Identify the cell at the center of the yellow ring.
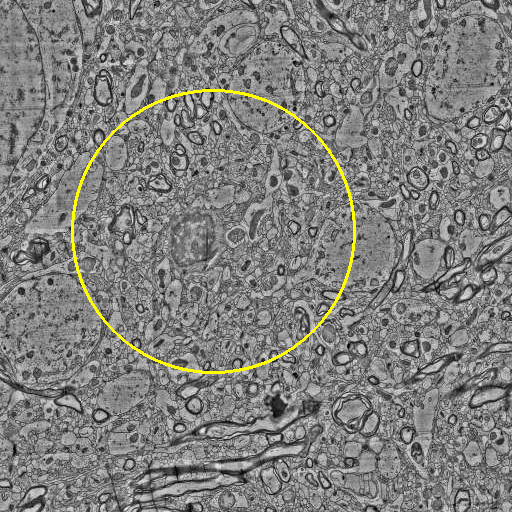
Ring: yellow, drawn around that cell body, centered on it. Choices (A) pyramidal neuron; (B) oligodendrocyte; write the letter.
B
